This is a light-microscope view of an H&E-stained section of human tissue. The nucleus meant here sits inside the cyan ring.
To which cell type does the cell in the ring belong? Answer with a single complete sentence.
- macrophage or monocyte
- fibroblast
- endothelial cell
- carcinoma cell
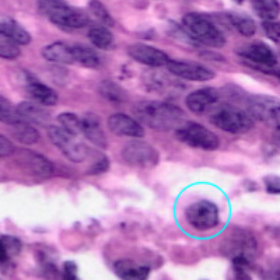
The expected answer is simply that the cell in the ring is a macrophage or monocyte.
